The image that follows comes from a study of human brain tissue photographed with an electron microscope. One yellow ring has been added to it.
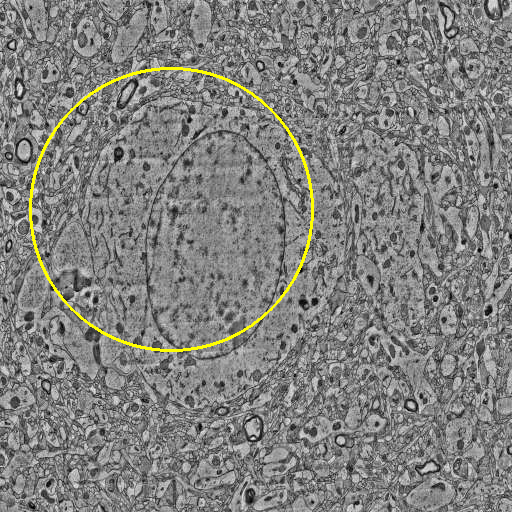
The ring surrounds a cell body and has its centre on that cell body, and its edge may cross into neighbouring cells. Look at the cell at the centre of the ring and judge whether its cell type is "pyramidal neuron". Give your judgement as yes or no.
yes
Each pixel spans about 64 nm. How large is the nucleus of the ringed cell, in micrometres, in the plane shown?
In this plane the nucleus measures roughly 15 by 9 micrometers.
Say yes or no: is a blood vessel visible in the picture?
No, there is no blood vessel in the image.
